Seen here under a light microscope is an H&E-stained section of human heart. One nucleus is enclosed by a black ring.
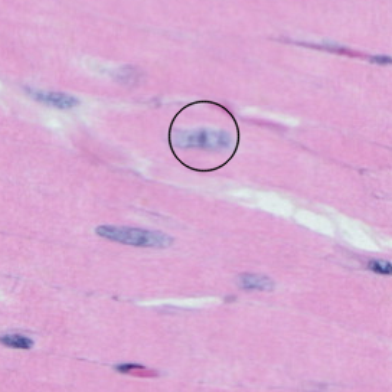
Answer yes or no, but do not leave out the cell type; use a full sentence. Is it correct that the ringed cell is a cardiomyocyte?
Yes, that is right: the ringed cell is a cardiomyocyte.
